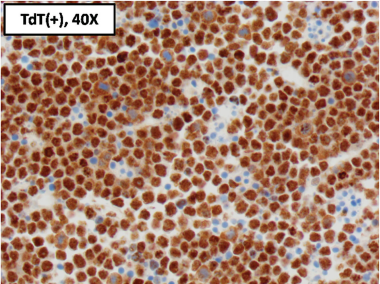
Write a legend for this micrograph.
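A dense, diffuse sheet of medium-sized atypical cells fills the field, with no normal tissue architecture left. Nearly every cell has a round nucleus stained strongly brown, with only a thin rim of pale cytoplasm around it. Scattered among them are a few small cells whose nuclei take only the blue counterstain.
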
